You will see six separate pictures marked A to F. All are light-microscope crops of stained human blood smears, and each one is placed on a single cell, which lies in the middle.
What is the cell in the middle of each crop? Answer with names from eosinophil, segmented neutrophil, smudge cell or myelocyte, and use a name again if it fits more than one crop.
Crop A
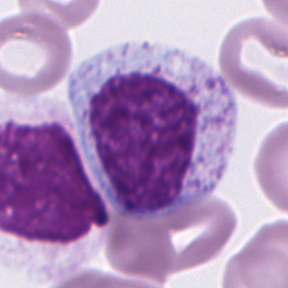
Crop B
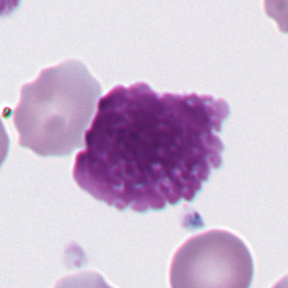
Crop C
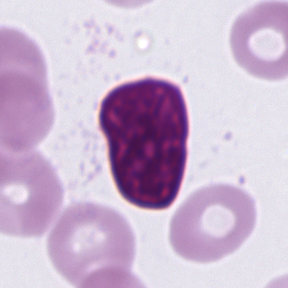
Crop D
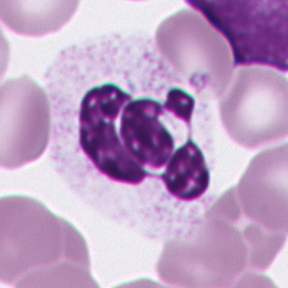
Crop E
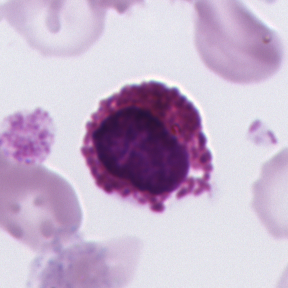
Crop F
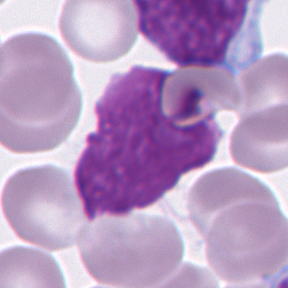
A: myelocyte
B: smudge cell
C: smudge cell
D: segmented neutrophil
E: eosinophil
F: smudge cell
